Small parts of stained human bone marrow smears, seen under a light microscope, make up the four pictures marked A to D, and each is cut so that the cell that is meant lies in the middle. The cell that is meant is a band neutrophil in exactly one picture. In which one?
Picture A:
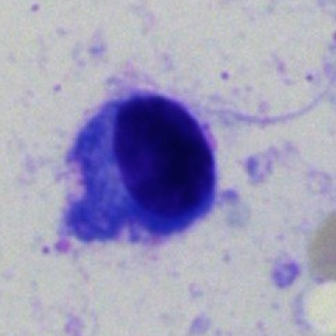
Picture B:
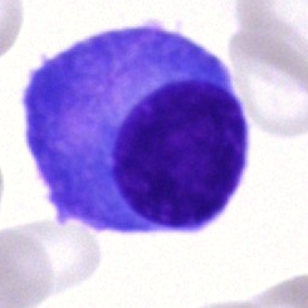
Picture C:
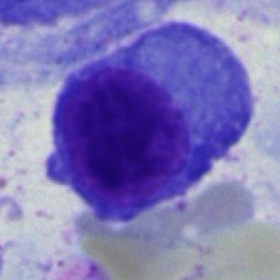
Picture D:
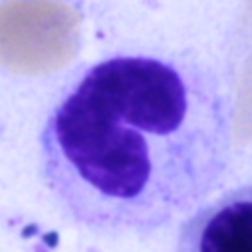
D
